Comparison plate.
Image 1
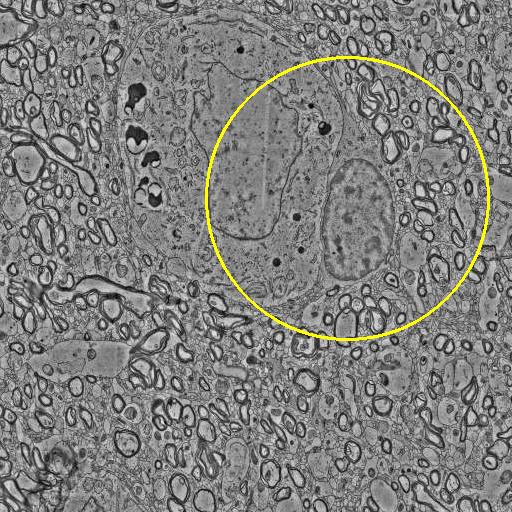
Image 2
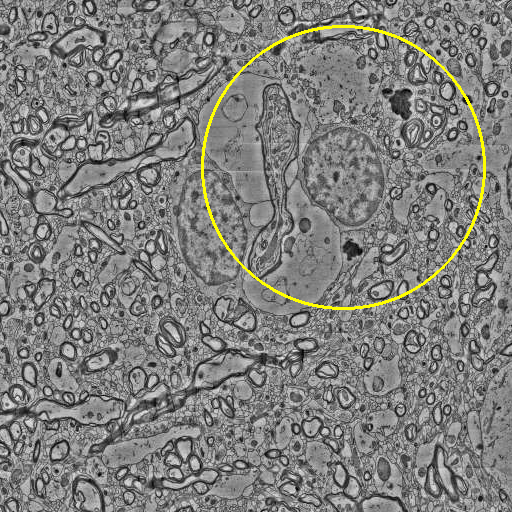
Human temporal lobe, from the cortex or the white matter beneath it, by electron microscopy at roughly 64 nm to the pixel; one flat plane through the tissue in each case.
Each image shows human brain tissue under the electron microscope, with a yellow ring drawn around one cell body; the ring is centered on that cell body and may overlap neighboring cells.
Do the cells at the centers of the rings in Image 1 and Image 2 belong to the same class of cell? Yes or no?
yes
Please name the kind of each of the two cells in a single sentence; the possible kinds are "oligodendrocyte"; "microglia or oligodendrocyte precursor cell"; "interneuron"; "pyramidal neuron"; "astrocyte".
The second cell is an oligodendrocyte, just as the first is.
